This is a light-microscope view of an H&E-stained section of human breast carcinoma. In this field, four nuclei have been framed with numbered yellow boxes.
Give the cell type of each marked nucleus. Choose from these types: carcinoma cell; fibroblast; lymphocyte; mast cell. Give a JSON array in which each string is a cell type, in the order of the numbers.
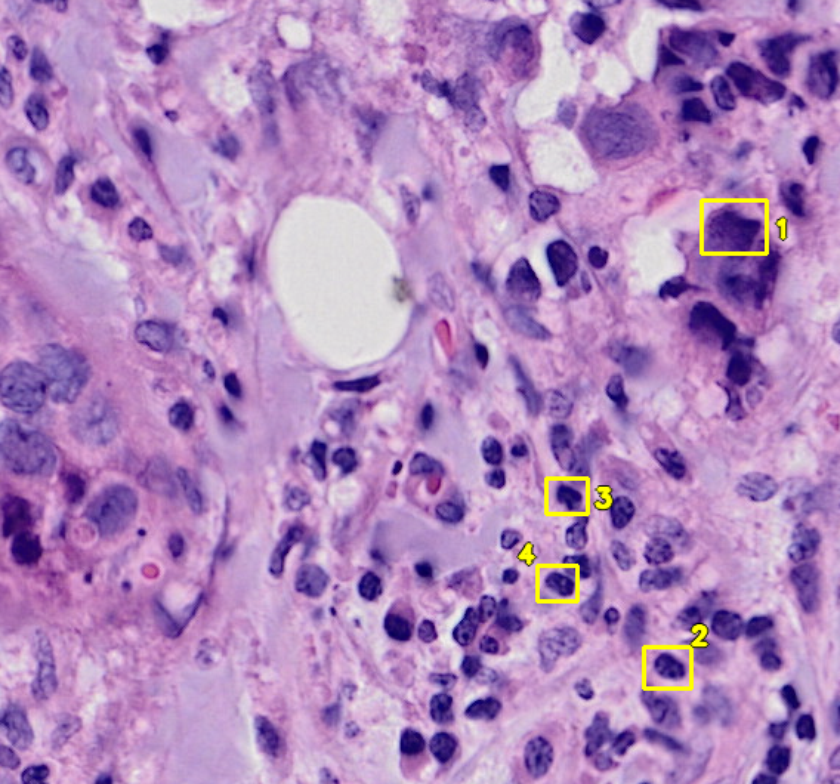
["carcinoma cell", "lymphocyte", "lymphocyte", "lymphocyte"]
